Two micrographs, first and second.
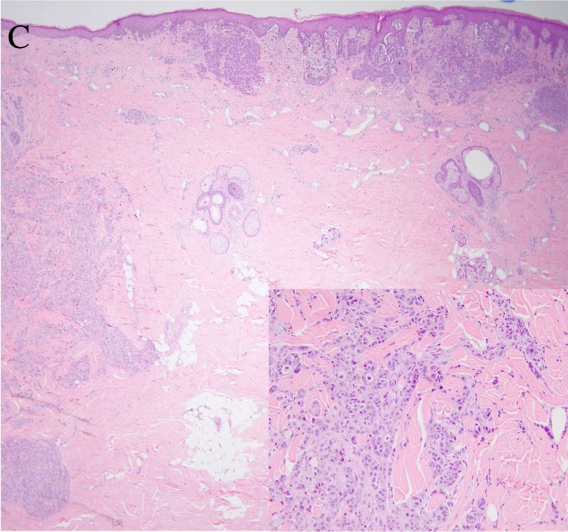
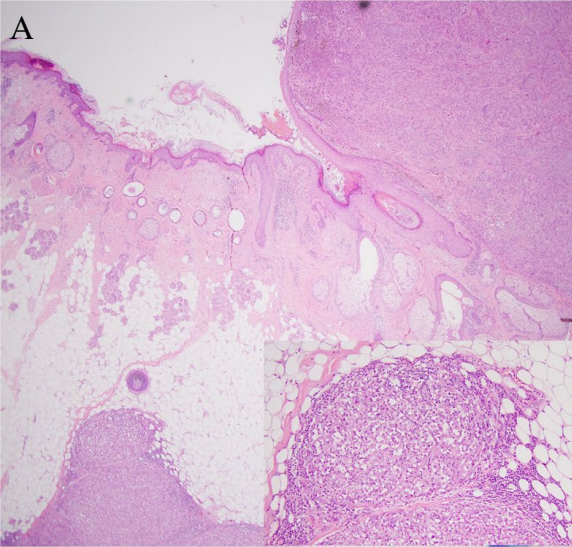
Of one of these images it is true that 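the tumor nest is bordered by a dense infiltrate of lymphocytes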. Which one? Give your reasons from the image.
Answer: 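First image: the inset shows small nests and cords of tumor cells among pink collagen bundles, with no dense band of small dark cells. Second image: the inset shows a tumor nodule in fat with a dense band of small dark-nucleated cells at its rim. The answer: the second image.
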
